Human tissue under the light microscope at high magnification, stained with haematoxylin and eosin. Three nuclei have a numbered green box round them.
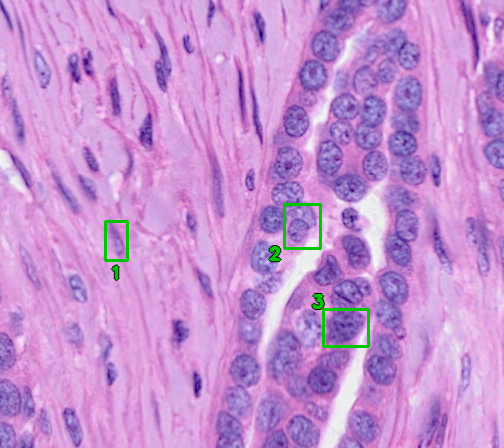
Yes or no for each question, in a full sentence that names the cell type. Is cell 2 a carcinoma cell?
Yes, the cell corresponding to number 2 is a carcinoma cell.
